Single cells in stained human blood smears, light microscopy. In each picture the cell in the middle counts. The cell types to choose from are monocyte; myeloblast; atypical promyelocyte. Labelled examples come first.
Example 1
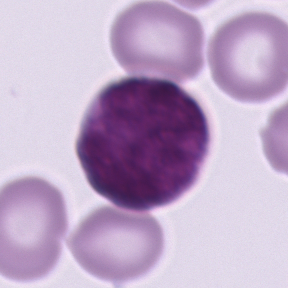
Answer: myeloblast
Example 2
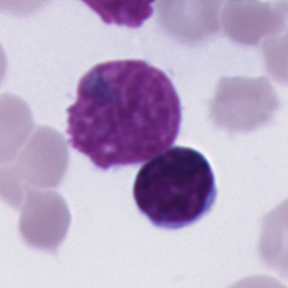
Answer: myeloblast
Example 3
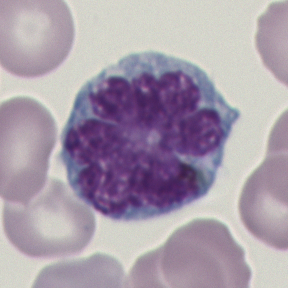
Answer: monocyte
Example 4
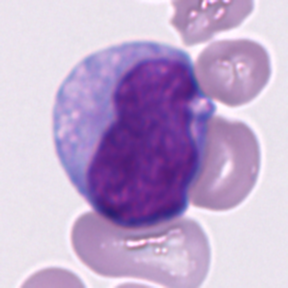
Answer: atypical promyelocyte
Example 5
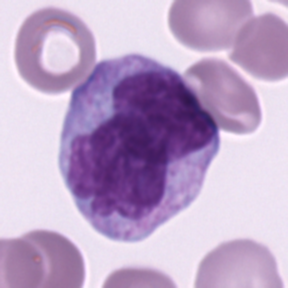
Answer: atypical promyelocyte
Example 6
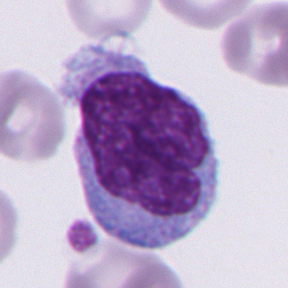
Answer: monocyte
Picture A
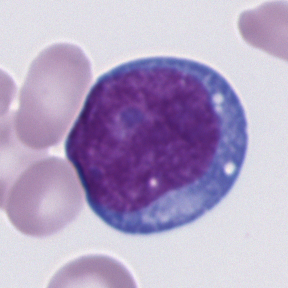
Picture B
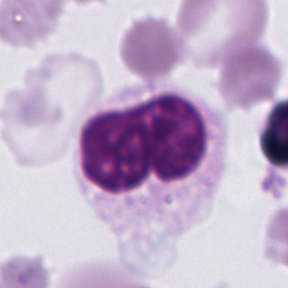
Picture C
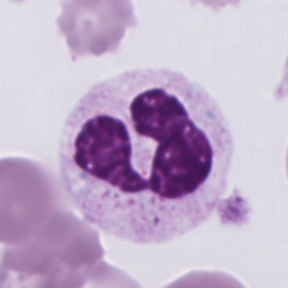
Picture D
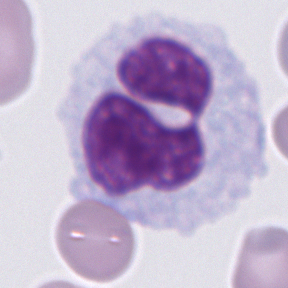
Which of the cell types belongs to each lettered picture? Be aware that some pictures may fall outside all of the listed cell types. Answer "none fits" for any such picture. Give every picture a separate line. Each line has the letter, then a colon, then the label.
A: myeloblast
B: none fits
C: none fits
D: monocyte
